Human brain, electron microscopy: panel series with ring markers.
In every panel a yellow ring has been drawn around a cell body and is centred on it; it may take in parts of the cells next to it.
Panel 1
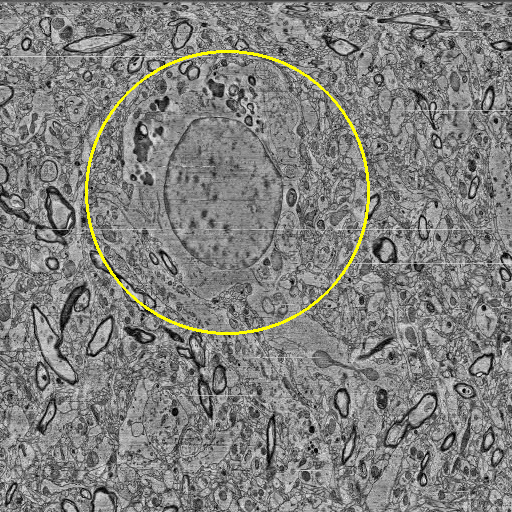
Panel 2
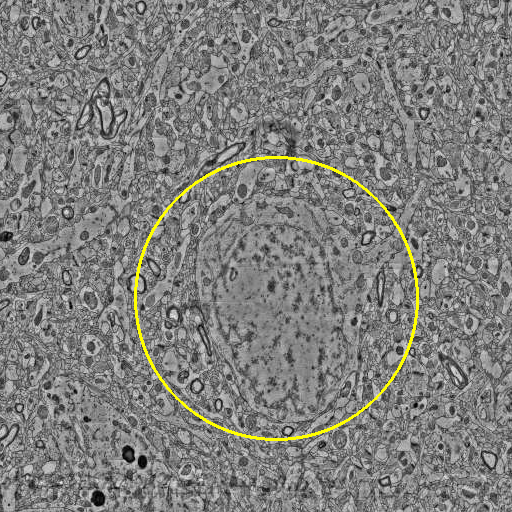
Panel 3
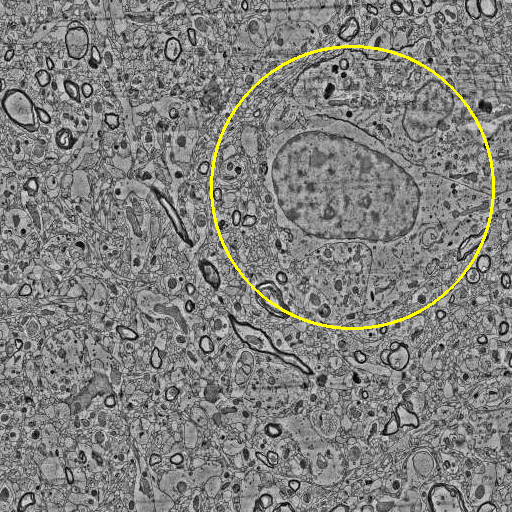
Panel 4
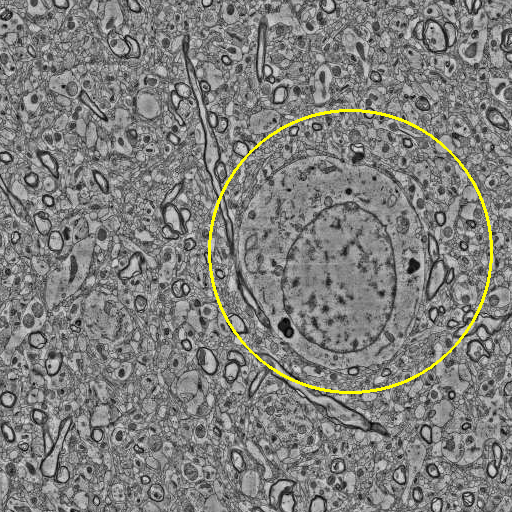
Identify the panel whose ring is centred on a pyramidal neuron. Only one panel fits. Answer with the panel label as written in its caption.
Panel 4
